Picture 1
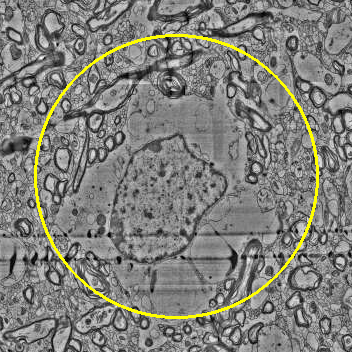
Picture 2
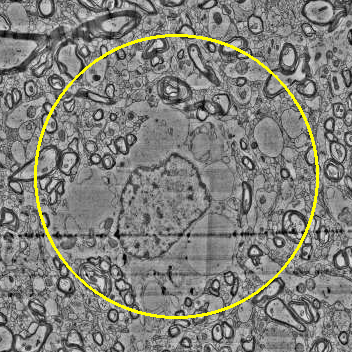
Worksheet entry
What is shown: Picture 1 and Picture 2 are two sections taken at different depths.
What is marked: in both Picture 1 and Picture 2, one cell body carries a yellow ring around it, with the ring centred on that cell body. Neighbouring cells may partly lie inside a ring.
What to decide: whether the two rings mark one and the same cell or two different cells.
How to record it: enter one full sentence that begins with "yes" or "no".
Yes, the two rings mark one cell and not separate cells.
